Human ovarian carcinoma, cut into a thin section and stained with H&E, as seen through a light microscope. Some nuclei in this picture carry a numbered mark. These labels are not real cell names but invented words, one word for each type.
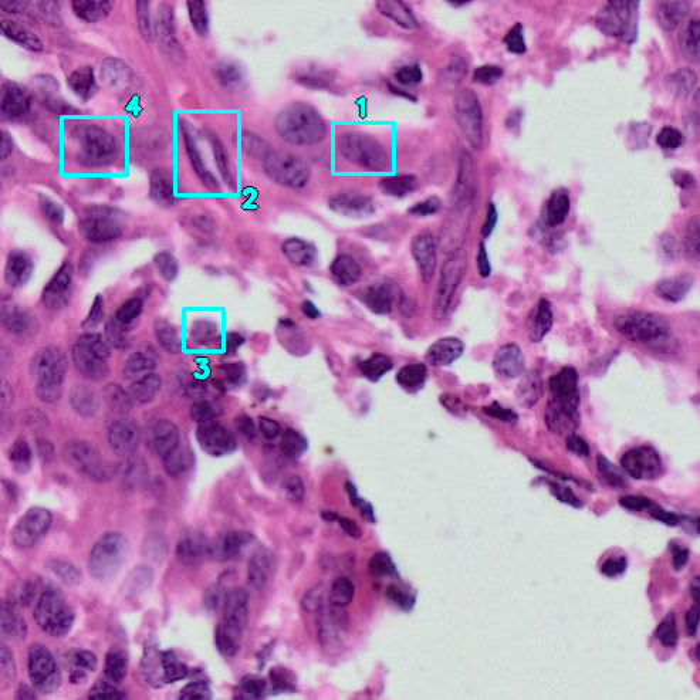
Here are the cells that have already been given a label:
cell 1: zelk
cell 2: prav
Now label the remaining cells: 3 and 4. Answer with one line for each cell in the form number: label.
3: zelk
4: zelk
